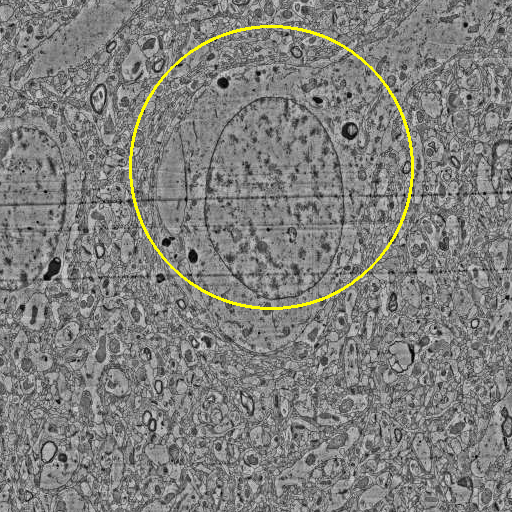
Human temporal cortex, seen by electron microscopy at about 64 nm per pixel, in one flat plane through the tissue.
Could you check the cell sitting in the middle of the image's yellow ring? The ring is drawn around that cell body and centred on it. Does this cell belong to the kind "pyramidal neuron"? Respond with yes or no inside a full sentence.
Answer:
Yes, this cell in the middle of the yellow ring is one of that kind.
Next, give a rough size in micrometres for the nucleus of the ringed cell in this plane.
In this plane, the nucleus of the cell at the centre of the ring measures about 13 by 9 micrometres.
